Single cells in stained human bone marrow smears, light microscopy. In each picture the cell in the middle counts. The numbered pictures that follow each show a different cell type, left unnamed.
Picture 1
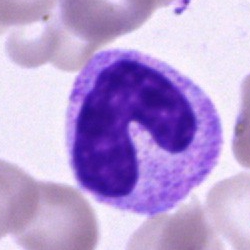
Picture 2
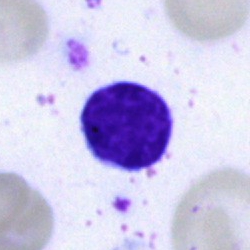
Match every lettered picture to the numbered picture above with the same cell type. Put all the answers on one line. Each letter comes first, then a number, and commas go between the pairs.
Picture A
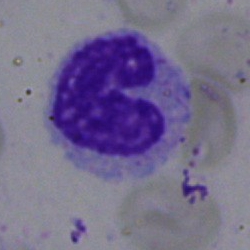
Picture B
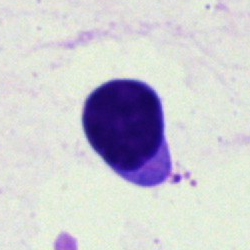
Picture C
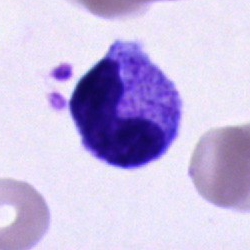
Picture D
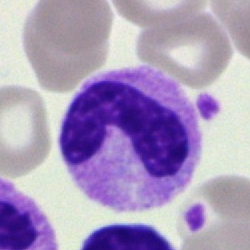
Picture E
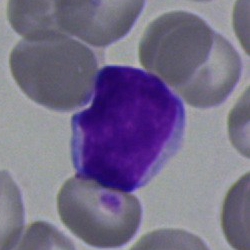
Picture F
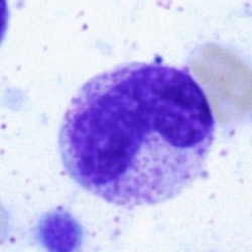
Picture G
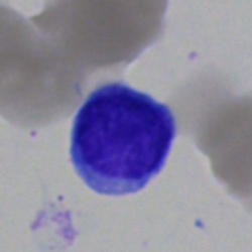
A 1, B 2, C 1, D 1, E 2, F 1, G 2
